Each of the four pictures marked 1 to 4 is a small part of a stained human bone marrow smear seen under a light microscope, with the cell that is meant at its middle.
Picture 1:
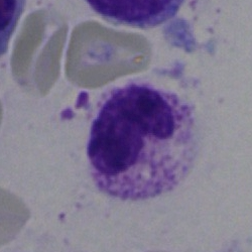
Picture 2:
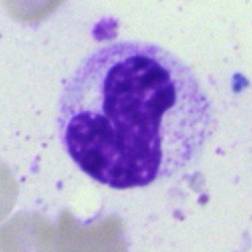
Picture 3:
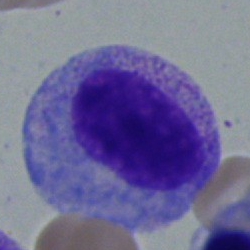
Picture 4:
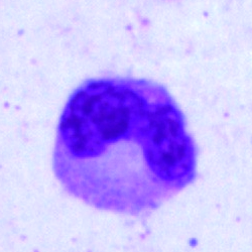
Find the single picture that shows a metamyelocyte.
3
